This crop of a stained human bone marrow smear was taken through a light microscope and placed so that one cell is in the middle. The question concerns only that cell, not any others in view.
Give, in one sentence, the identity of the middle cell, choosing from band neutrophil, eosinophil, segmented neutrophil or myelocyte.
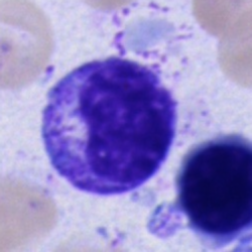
The cell under consideration, at the middle of the crop, is a myelocyte.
